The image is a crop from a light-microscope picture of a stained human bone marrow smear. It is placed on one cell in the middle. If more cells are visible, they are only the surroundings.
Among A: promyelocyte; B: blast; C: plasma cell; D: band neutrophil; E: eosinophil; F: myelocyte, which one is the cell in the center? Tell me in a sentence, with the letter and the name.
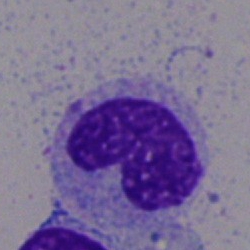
The middle of the crop contains a band neutrophil, so option D is right.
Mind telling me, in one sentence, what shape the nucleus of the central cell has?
What stands out is a nucleus forming one compact round, oval or kidney-shaped mass.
